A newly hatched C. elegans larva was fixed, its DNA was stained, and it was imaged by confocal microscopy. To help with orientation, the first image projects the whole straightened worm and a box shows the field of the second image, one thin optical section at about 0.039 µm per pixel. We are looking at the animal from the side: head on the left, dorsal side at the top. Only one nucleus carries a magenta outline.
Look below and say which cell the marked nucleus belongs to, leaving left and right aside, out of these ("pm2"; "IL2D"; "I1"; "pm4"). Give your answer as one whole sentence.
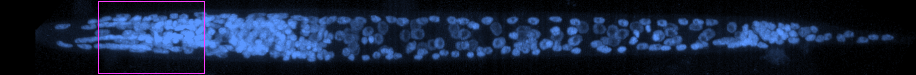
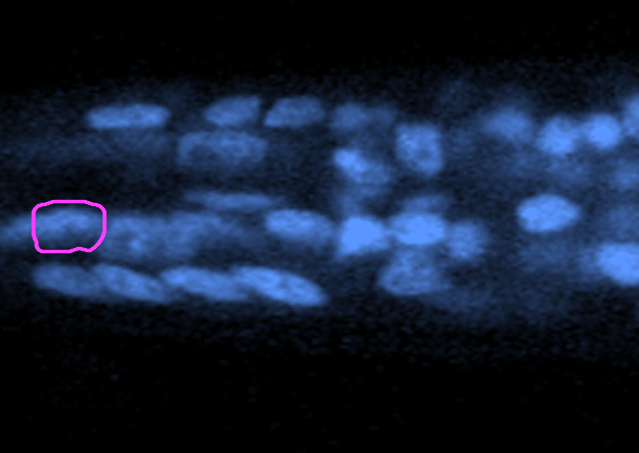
The marked cell is pm2, a pharyngeal muscle cell.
